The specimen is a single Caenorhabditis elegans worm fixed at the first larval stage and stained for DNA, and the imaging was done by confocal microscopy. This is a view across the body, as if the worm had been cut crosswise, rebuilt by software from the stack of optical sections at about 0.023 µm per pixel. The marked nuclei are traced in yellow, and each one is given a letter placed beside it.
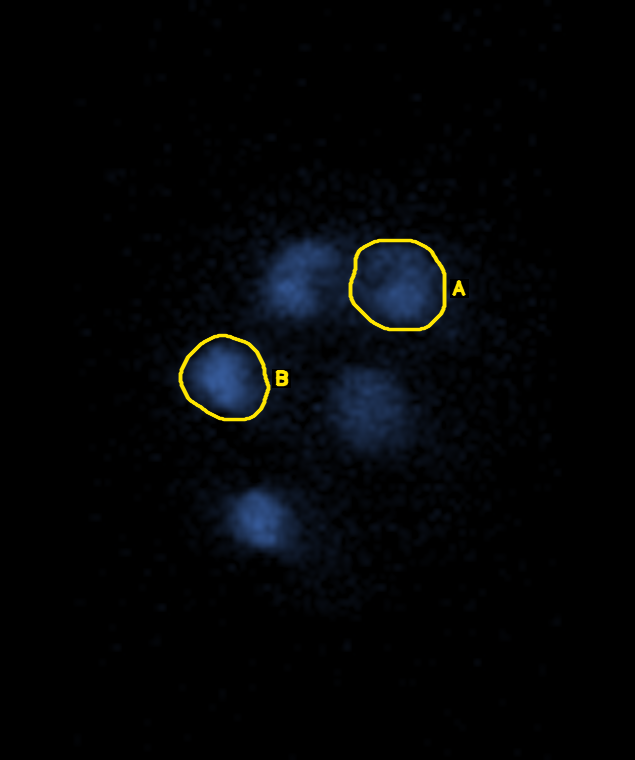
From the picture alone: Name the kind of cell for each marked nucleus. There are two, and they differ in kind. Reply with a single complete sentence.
A is in a body wall muscle cell and B is in a neuron.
